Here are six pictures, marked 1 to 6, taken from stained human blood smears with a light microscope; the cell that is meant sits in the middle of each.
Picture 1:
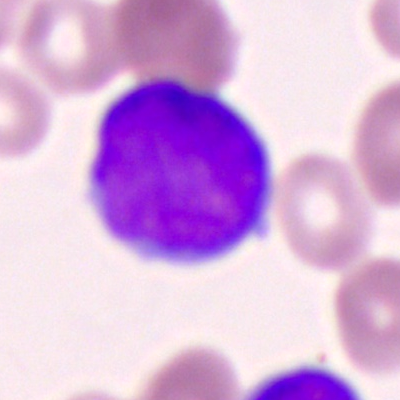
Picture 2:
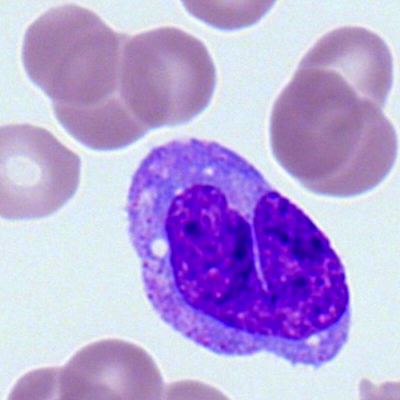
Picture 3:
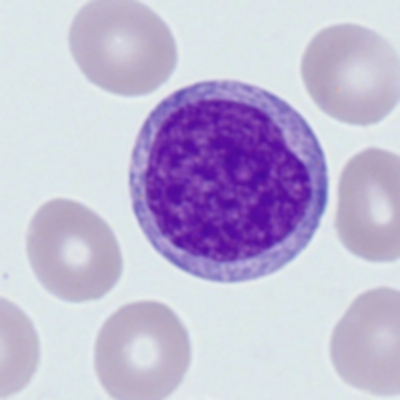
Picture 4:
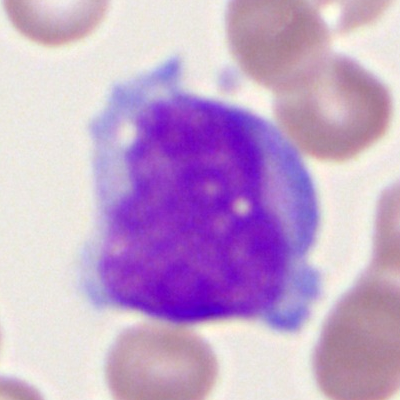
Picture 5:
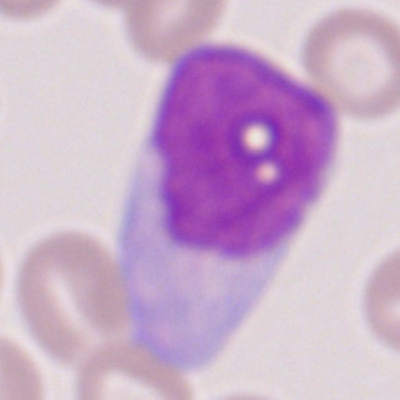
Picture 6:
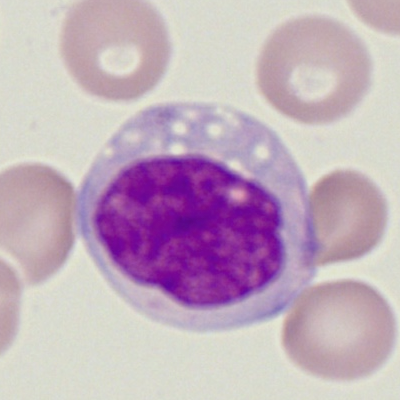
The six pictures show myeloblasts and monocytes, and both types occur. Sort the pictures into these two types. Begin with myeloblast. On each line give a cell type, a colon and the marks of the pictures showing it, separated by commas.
myeloblast: 1, 3
monocyte: 2, 4, 5, 6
